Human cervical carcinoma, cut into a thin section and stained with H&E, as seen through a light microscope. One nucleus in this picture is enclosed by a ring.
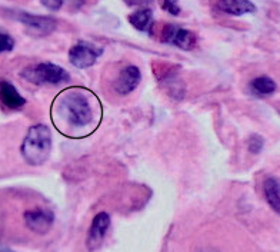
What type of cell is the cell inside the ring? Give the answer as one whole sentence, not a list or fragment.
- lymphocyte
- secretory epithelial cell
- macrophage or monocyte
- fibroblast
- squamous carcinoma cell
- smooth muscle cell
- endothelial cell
In the tissue under study, the cell inside the ring is a macrophage or monocyte.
